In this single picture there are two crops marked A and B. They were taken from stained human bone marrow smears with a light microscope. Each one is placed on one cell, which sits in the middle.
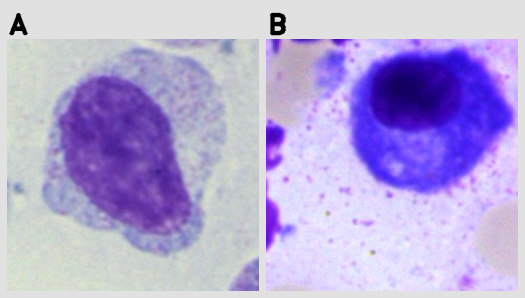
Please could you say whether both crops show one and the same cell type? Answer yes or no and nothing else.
no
